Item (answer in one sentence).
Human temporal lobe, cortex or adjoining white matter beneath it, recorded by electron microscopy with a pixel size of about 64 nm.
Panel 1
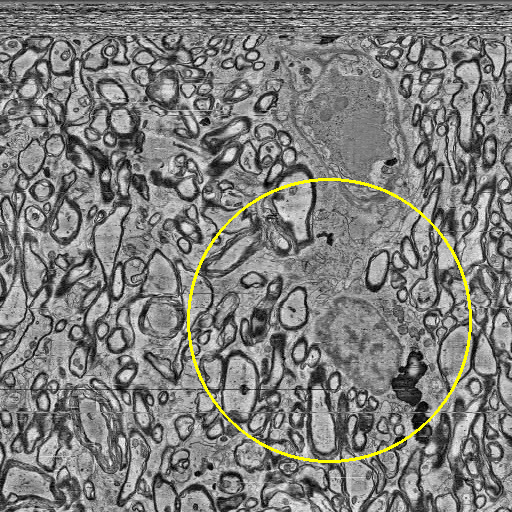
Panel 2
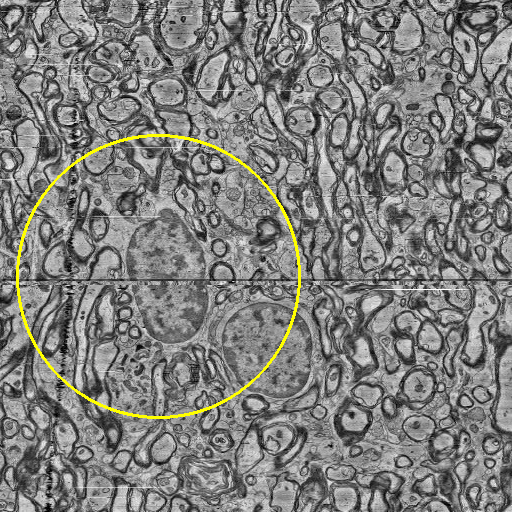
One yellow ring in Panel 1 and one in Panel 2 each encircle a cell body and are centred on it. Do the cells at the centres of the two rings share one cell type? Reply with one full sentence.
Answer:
No, Panel 1 and Panel 2 show cells of two types at the centres of their rings.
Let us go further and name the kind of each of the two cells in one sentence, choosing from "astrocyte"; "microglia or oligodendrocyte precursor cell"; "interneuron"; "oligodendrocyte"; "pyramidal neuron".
The ring of the first picture is on an oligodendrocyte, the ring of the second on a microglial cell or oligodendrocyte precursor cell.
